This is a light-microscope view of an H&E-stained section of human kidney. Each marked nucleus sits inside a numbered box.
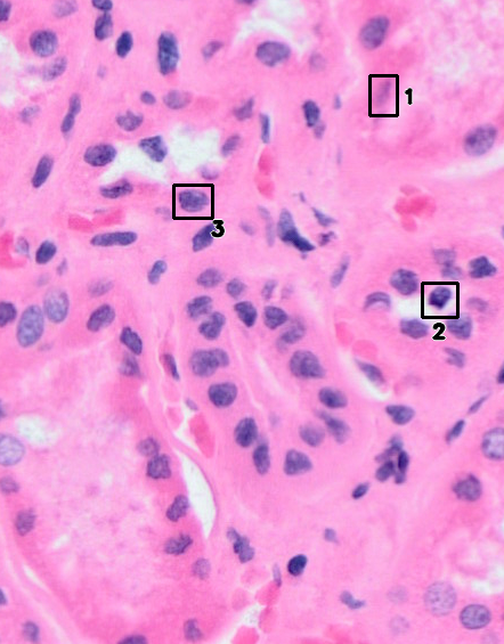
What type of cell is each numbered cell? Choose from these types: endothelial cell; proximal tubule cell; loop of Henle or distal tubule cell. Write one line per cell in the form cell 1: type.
cell 1: proximal tubule cell
cell 2: loop of Henle or distal tubule cell
cell 3: loop of Henle or distal tubule cell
